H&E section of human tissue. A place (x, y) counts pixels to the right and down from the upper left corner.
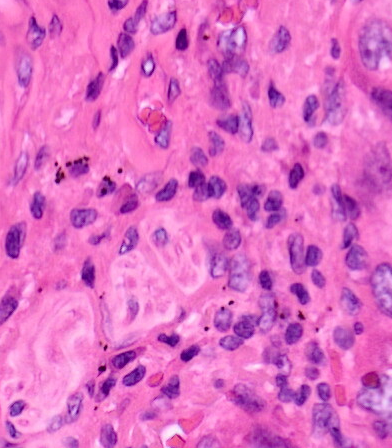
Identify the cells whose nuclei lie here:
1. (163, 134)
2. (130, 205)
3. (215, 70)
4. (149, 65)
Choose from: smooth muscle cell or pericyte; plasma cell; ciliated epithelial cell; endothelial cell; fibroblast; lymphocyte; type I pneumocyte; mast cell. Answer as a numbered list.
1. endothelial cell
2. plasma cell
3. plasma cell
4. endothelial cell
